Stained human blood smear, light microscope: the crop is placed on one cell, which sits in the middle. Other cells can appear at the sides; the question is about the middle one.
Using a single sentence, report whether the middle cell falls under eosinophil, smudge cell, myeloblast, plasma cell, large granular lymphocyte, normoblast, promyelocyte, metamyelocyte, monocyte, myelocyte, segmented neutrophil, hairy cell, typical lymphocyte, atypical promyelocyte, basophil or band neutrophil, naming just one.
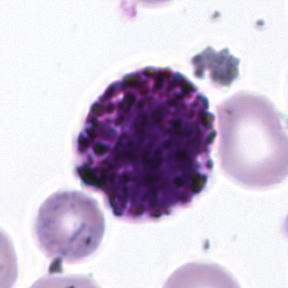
For this crop, the cell in the middle is a basophil.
